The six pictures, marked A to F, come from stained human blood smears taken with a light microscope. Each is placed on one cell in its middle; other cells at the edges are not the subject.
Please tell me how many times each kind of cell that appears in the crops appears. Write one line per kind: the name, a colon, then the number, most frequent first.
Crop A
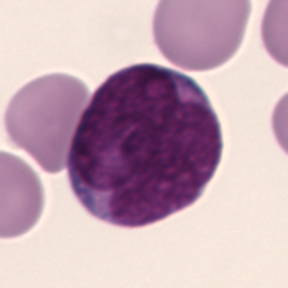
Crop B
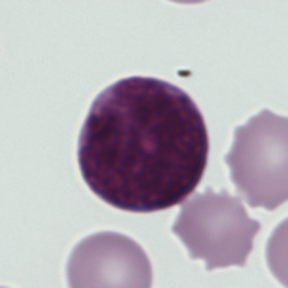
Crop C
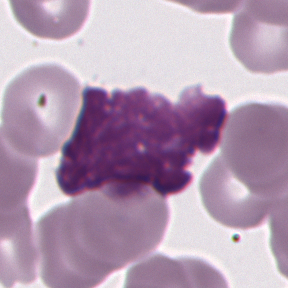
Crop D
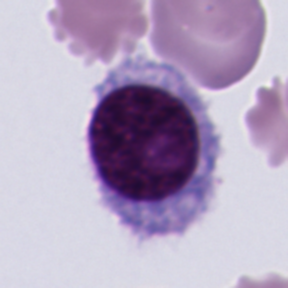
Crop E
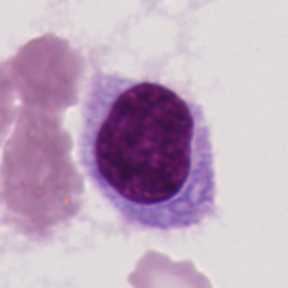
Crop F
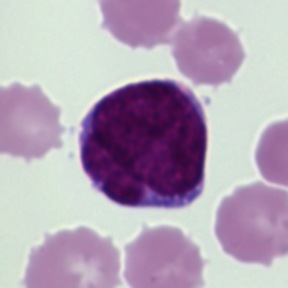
myeloblast: 3
hairy cell: 2
smudge cell: 1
